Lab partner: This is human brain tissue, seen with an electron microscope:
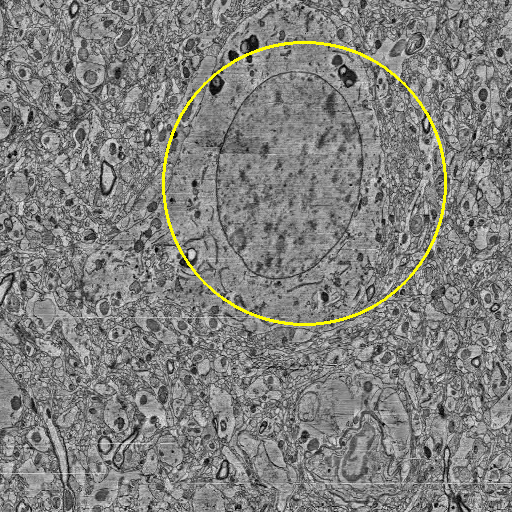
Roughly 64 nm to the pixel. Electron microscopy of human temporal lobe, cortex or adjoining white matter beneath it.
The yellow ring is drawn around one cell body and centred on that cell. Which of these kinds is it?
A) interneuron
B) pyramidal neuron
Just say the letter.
B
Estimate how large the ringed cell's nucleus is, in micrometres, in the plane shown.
In this plane, about 14 micrometres in length and 10 in width.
